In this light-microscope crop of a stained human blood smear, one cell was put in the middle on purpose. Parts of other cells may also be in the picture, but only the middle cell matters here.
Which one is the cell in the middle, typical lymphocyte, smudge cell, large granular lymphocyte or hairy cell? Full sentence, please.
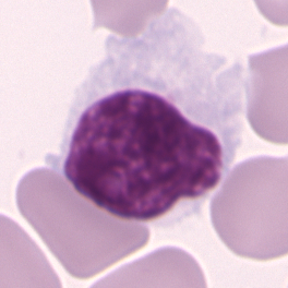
Seen at the centre of the crop is a hairy cell.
